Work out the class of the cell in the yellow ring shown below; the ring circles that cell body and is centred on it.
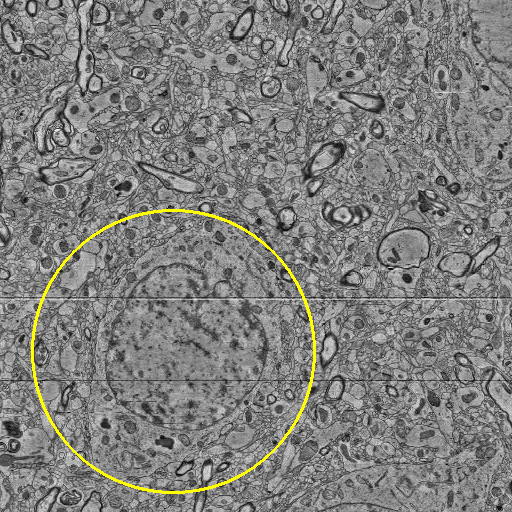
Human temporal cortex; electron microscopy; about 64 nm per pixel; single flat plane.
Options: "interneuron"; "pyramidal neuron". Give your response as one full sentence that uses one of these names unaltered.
The body ringed in yellow, right at the ring's centre, is that of an interneuron.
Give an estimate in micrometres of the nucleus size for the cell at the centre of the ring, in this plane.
In this plane the ringed cell's nucleus is roughly 11 micrometres across.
